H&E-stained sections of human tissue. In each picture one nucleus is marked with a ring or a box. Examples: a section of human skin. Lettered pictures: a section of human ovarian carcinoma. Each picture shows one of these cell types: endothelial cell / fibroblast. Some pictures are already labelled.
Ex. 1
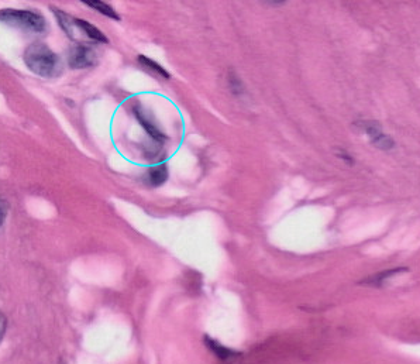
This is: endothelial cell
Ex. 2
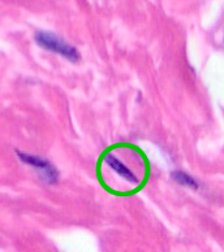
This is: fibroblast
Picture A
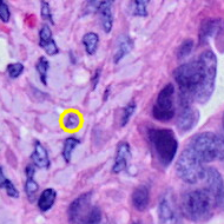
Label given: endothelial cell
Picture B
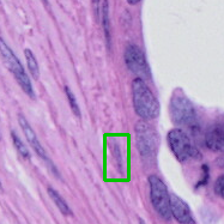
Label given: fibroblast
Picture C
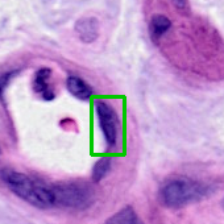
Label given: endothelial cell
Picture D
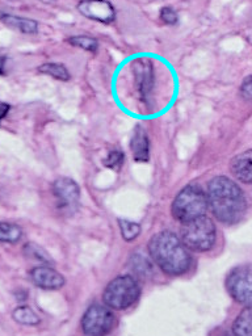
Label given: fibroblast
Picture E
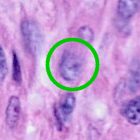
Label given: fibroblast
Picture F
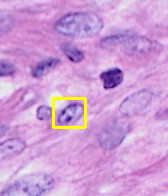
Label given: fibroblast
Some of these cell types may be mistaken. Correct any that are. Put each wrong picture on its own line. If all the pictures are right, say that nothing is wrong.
A should be fibroblast, not endothelial cell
